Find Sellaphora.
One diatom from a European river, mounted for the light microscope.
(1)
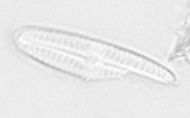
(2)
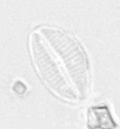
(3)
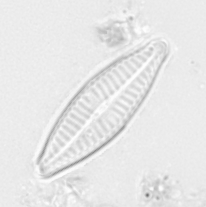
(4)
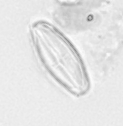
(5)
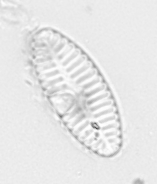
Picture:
1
